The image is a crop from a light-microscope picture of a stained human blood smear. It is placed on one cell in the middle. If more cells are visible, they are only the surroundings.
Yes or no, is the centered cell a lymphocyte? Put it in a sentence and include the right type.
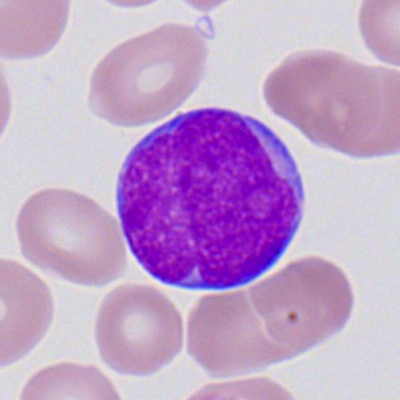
No, not a lymphocyte here; the centered cell is a myeloblast.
